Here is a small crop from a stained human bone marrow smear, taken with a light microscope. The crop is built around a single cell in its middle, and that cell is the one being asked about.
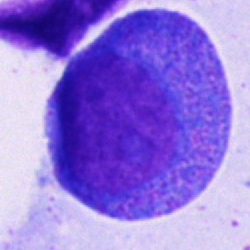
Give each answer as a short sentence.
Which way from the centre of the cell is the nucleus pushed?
The nucleus lies toward the left of the cell.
